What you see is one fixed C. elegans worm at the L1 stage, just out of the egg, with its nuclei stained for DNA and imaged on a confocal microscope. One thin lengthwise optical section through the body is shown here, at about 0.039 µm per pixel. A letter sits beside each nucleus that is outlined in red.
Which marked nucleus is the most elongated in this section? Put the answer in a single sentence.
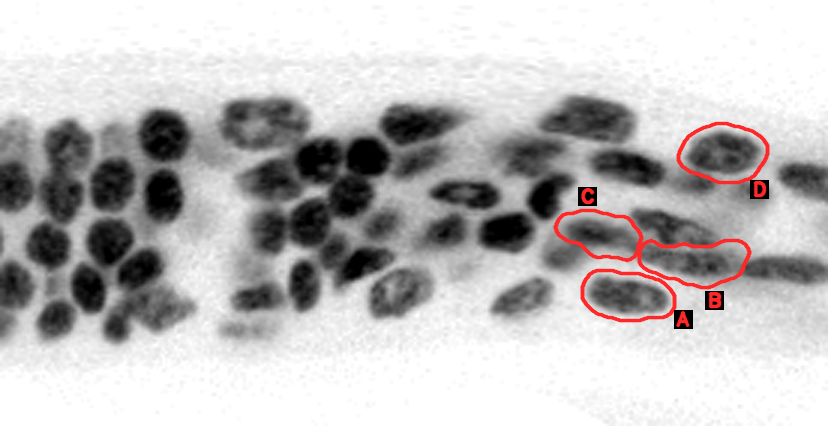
B is the most elongated.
